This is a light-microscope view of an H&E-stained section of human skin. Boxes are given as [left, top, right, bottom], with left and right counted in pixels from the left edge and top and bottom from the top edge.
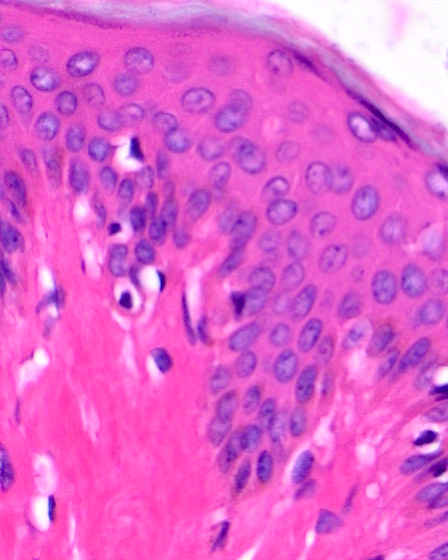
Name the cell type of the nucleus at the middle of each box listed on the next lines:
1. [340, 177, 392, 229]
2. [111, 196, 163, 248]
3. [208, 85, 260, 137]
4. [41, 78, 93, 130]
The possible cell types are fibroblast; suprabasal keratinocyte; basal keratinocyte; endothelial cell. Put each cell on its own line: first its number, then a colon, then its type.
1: suprabasal keratinocyte
2: basal keratinocyte
3: suprabasal keratinocyte
4: suprabasal keratinocyte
